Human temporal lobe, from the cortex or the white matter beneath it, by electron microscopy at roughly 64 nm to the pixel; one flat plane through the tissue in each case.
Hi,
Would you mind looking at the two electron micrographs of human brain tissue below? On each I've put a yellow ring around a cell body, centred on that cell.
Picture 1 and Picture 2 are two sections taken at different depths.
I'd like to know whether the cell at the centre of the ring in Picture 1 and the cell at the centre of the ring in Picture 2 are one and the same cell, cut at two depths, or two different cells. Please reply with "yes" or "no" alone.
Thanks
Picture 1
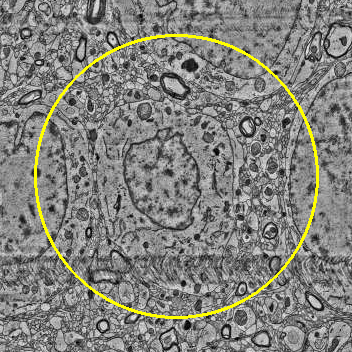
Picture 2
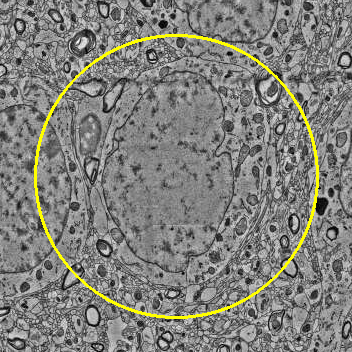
yes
